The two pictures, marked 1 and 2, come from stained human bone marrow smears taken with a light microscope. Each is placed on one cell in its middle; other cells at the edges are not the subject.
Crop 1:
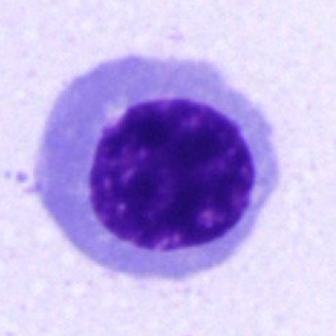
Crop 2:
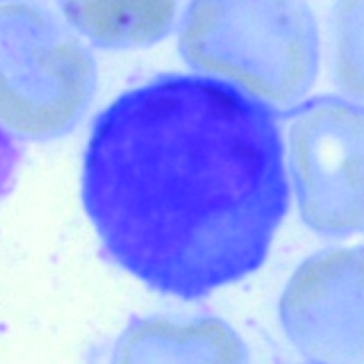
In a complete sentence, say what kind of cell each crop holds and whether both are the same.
No, crop 1 is home to an erythroblast, and crop 2 to a lymphocyte.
